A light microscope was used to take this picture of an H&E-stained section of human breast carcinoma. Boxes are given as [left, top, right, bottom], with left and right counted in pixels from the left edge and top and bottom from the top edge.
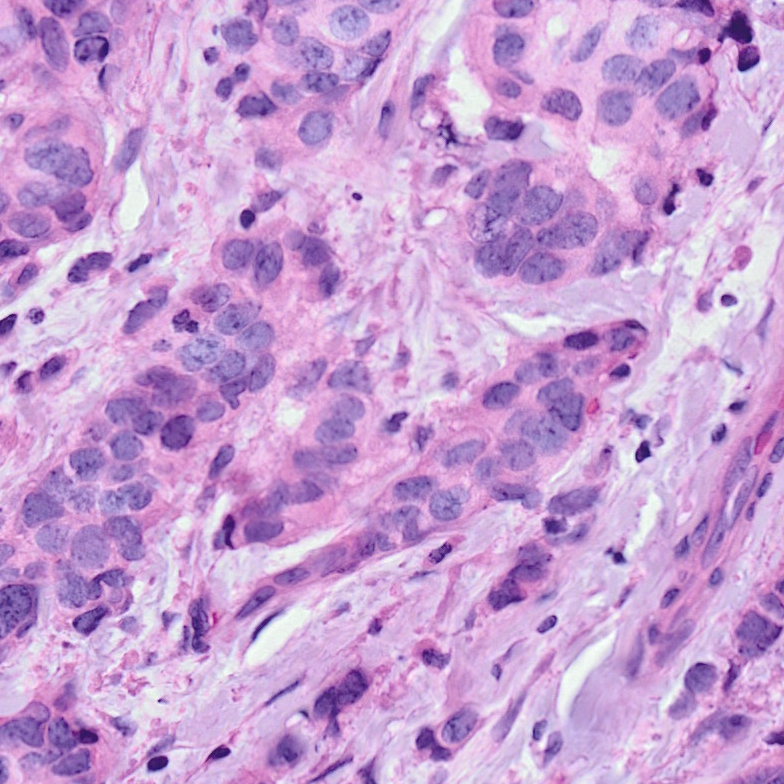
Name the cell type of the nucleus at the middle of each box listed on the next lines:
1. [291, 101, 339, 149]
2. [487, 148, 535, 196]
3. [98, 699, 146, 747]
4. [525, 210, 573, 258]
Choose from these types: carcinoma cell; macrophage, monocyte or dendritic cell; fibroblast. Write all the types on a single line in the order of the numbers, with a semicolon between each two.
carcinoma cell; carcinoma cell; fibroblast; carcinoma cell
